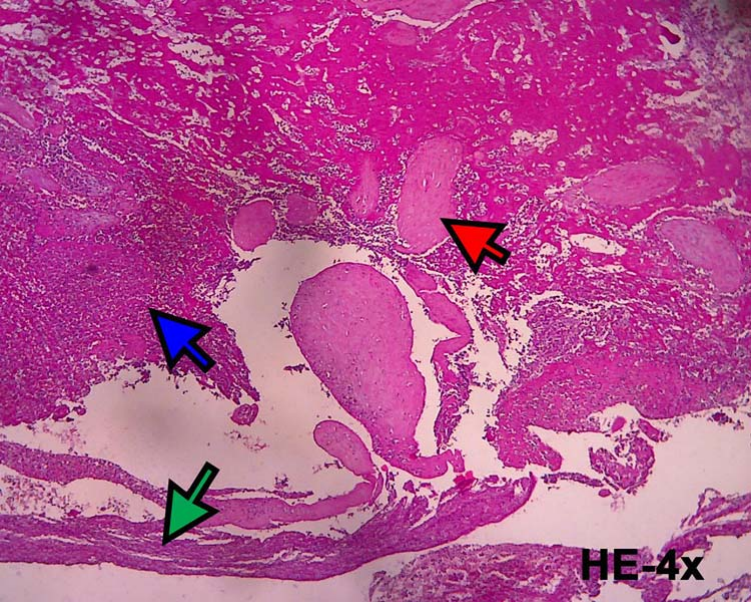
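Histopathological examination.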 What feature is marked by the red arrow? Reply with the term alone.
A: Necrotic villi chorealis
